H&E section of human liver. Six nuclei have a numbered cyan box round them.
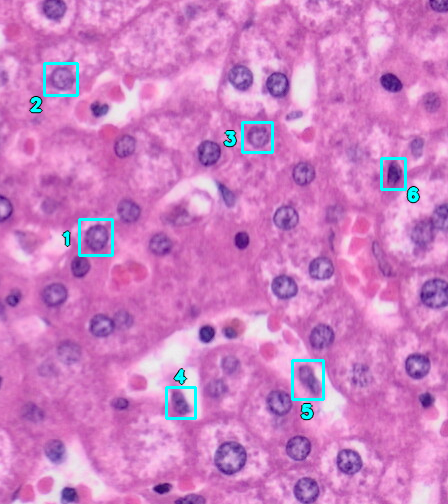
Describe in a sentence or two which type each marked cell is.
Cells 1, 2 and 3 are hepatocytes. Cells 4 and 5 are Kupffer cells. Cell 6 is a fibroblast or stellate cell.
